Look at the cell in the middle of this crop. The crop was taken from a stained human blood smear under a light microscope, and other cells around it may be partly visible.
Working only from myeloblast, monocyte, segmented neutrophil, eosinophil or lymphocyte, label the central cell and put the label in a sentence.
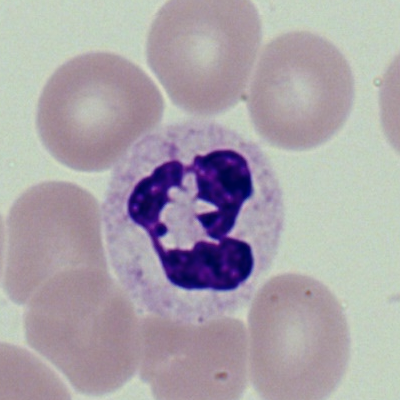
Located at the centre of the crop is a segmented neutrophil.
